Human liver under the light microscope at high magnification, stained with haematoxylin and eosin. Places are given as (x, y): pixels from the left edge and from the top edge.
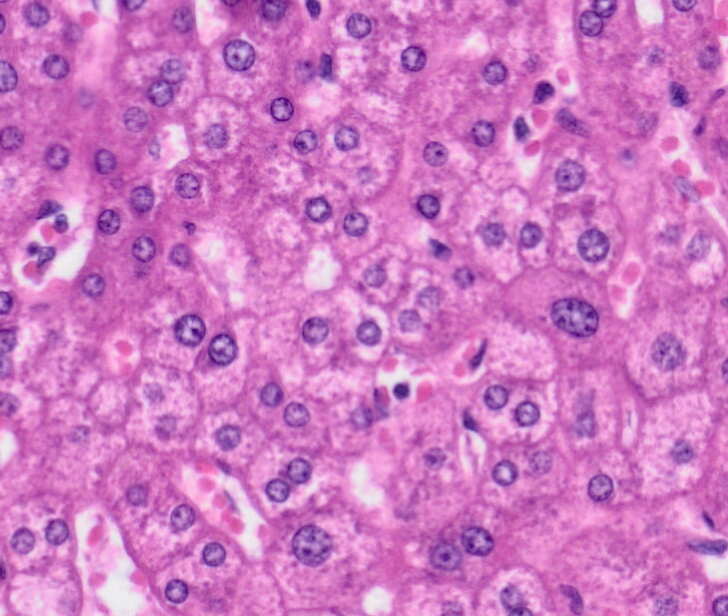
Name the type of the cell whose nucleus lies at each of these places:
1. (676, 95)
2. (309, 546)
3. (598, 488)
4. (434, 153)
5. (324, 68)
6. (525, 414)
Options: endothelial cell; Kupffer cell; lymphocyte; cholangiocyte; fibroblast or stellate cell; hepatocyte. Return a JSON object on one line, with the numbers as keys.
{"1": "fibroblast or stellate cell", "2": "hepatocyte", "3": "hepatocyte", "4": "hepatocyte", "5": "fibroblast or stellate cell", "6": "hepatocyte"}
